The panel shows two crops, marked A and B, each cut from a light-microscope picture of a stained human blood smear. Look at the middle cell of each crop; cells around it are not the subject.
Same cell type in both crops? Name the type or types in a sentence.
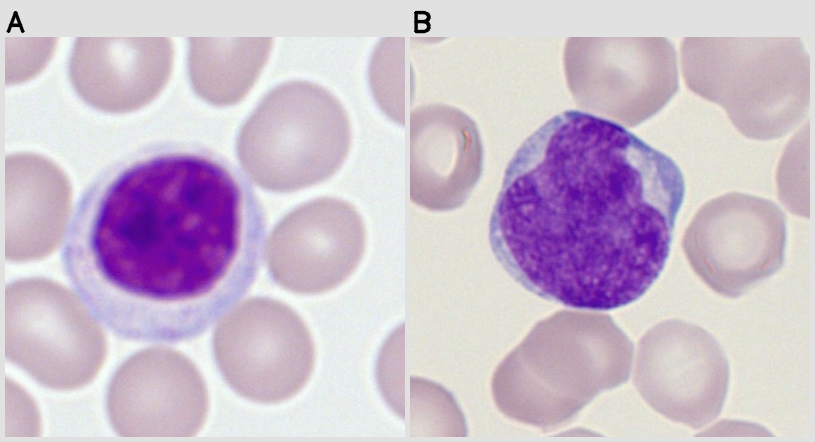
No, crop A captures a lymphocyte; meanwhile crop B captures a myeloblast.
